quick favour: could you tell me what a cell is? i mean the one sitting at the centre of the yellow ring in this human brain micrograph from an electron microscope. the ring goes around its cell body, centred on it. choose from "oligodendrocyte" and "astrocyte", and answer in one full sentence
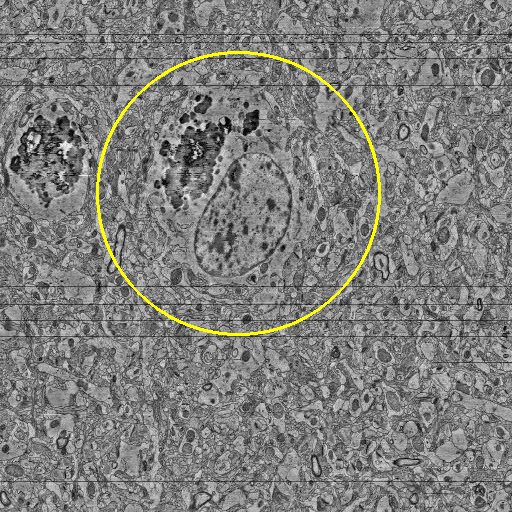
That's an astrocyte, the cell sitting at the centre of the yellow ring.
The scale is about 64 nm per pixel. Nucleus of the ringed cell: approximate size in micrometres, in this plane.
The ringed cell's nucleus is about 8 micrometres long and 5 micrometres wide in this plane.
